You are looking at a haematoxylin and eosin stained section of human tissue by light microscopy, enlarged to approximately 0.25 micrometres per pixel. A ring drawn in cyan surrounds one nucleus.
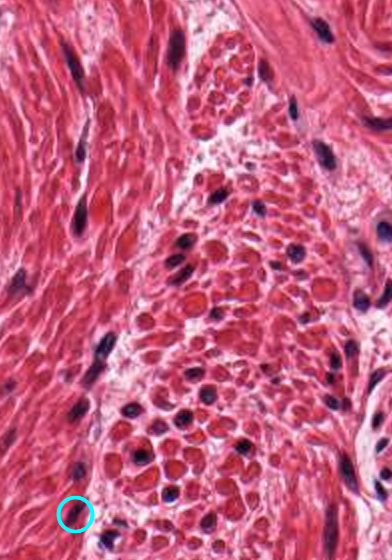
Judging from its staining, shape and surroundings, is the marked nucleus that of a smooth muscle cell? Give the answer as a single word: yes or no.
yes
